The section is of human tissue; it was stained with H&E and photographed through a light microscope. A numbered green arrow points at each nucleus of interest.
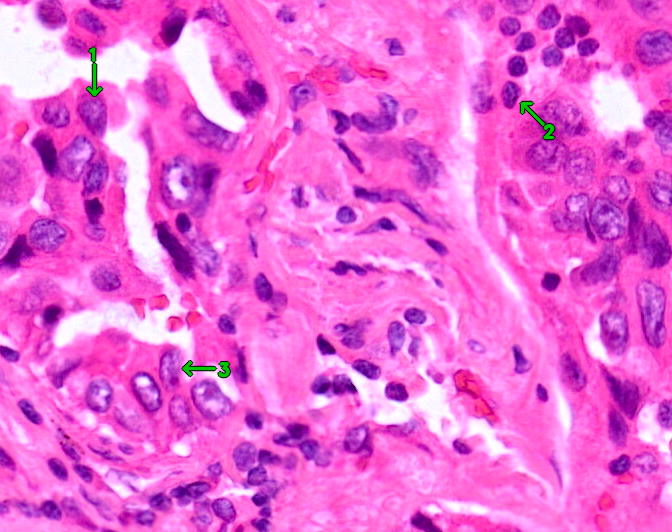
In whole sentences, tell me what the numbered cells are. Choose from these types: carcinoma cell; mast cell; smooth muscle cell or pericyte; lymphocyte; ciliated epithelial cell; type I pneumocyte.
Cell 1 is a carcinoma cell, cell 2 is a lymphocyte and cell 3 is a carcinoma cell.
